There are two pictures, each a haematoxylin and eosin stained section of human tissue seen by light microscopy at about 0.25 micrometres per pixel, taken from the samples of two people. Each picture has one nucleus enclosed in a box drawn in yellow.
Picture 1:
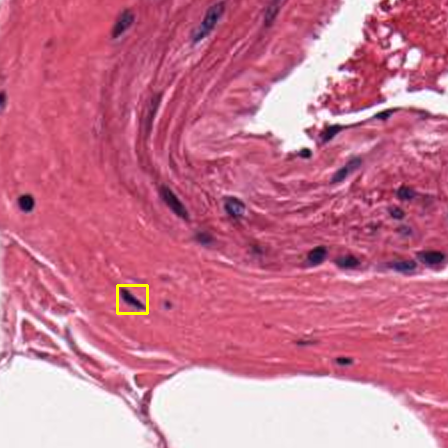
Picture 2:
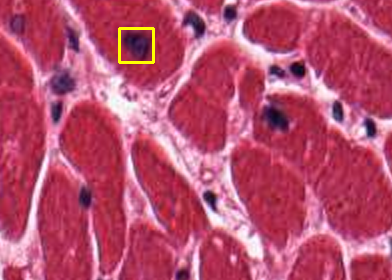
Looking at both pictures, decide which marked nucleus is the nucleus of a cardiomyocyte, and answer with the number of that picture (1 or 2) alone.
2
